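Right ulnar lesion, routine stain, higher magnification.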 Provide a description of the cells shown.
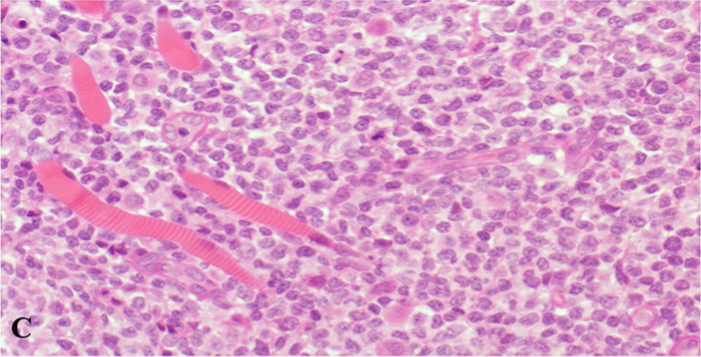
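Densely packed small round and oval cells with dark nuclei and little cytoplasm fill the field, and several long pink fibres with fine cross-striations run through them. These are mononuclear cells, mostly lymphocytes, infiltrating skeletal muscle, whose striated eosinophilic fibres are isolated and surrounded by the infiltrate.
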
